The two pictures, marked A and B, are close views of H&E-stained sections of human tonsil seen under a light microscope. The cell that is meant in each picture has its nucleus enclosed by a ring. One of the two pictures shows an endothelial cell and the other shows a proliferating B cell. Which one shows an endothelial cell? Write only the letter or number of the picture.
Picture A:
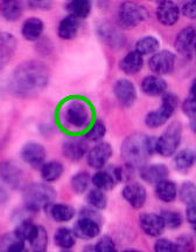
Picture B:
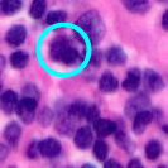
A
